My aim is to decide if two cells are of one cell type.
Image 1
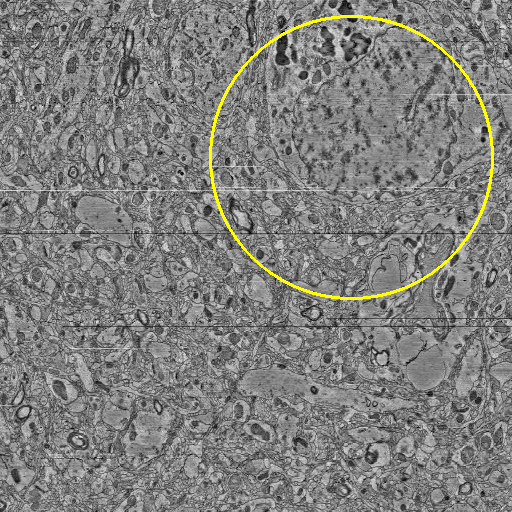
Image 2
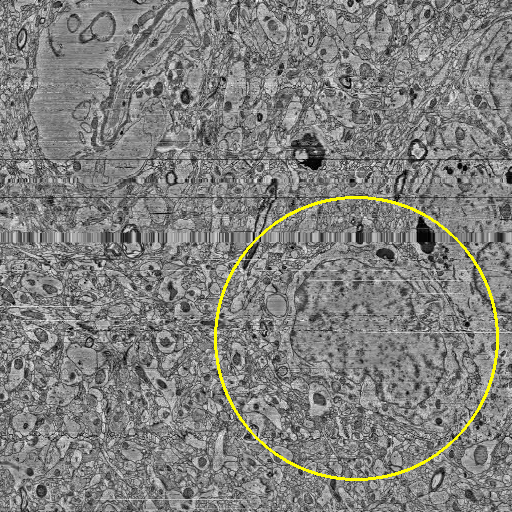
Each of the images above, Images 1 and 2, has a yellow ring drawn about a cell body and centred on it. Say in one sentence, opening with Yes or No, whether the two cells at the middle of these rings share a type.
Yes, in Images 1 and 2 the cells at the middle of the rings share one type.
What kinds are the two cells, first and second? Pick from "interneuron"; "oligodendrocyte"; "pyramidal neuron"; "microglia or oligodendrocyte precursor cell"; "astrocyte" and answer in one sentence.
Both cells are the same kind, each one being an interneuron.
